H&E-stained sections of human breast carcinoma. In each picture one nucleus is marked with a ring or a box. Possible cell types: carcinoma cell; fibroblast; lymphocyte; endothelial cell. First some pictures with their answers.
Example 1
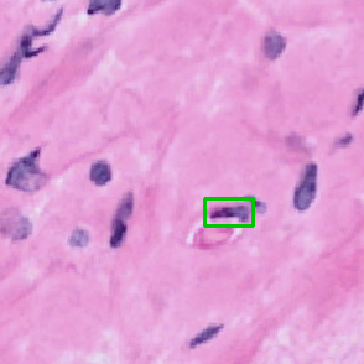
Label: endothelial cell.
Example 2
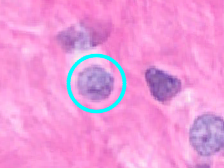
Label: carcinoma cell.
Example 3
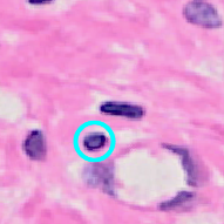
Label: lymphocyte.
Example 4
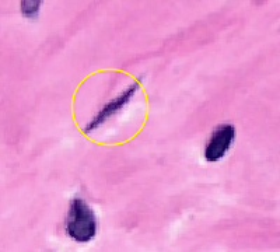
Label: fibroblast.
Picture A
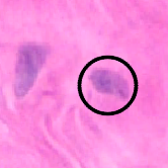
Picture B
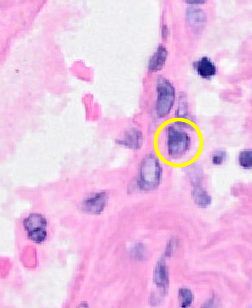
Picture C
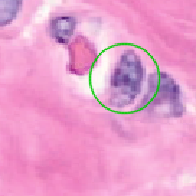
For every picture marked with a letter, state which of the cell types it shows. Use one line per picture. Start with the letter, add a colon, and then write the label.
A: fibroblast.
B: endothelial cell.
C: endothelial cell.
